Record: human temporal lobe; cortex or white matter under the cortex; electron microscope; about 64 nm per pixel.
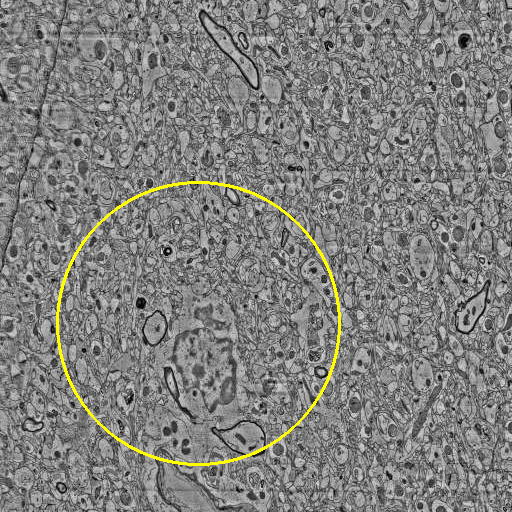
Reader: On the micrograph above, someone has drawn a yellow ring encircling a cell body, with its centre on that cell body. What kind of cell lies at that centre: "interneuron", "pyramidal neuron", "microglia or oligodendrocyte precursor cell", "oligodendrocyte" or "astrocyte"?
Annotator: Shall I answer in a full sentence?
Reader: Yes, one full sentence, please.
Here a microglial cell or oligodendrocyte precursor cell sits at the centre of the yellow ring drawn on the micrograph.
